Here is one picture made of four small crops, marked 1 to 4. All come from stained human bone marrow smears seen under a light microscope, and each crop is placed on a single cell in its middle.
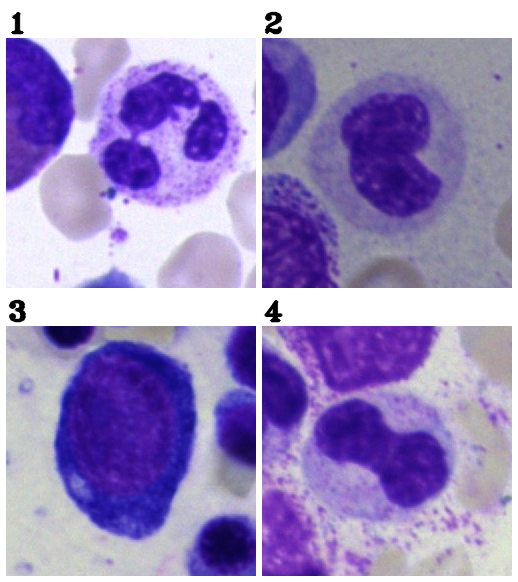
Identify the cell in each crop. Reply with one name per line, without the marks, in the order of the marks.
segmented neutrophil
band neutrophil
proerythroblast
band neutrophil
